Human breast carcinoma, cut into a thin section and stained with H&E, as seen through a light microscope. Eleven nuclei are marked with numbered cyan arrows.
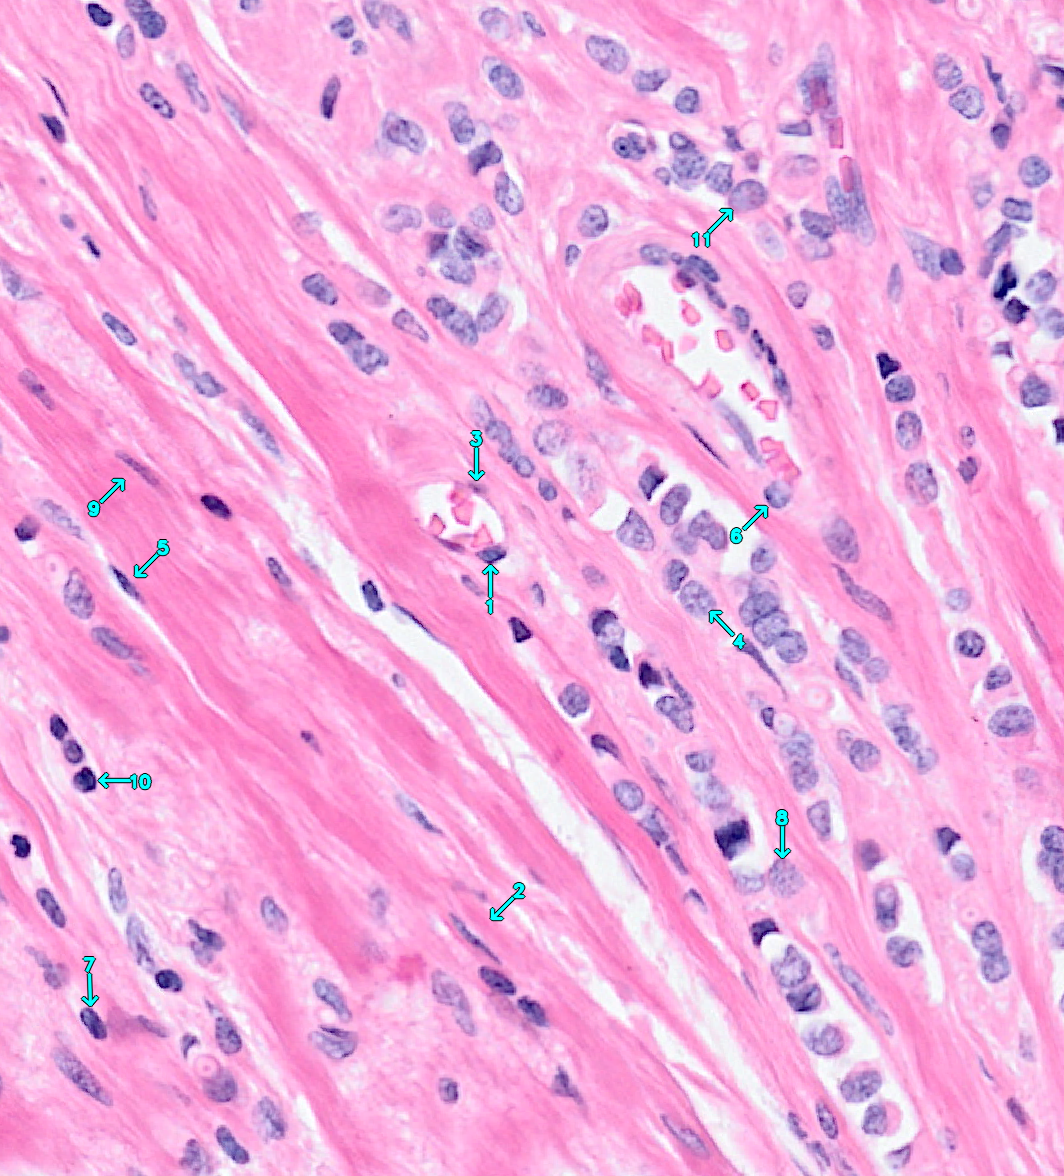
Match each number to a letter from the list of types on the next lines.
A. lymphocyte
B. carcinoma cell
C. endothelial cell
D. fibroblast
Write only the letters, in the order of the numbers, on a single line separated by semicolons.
C; D; C; B; D; C; A; B; D; A; B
